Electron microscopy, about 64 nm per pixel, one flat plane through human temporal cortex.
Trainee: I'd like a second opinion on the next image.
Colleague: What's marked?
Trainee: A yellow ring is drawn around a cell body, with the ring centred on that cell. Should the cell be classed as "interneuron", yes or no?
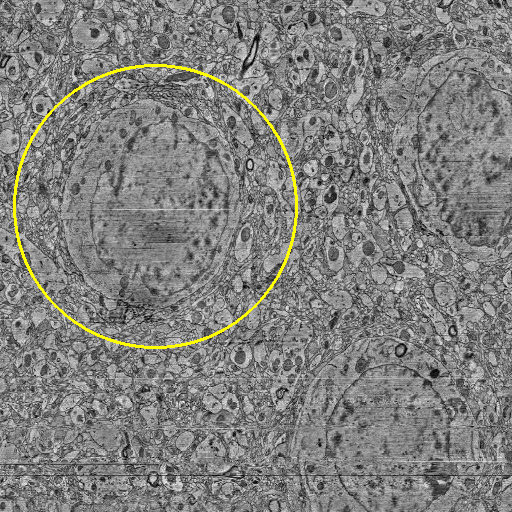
Yes, it should.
